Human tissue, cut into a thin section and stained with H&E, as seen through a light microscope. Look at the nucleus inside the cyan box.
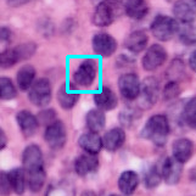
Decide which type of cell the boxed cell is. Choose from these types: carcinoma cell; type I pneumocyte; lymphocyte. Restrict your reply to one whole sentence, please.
The expected answer is simply that the boxed cell is a lymphocyte.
